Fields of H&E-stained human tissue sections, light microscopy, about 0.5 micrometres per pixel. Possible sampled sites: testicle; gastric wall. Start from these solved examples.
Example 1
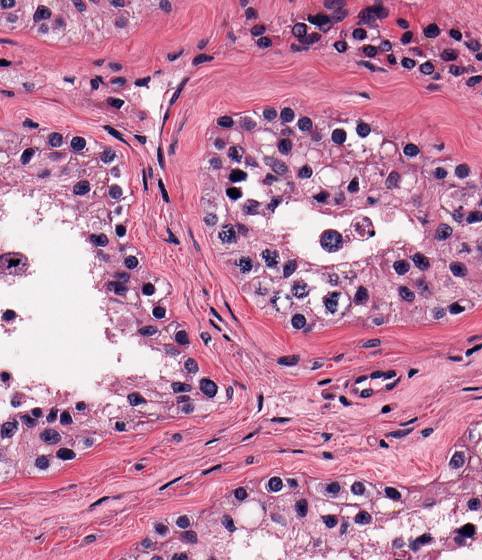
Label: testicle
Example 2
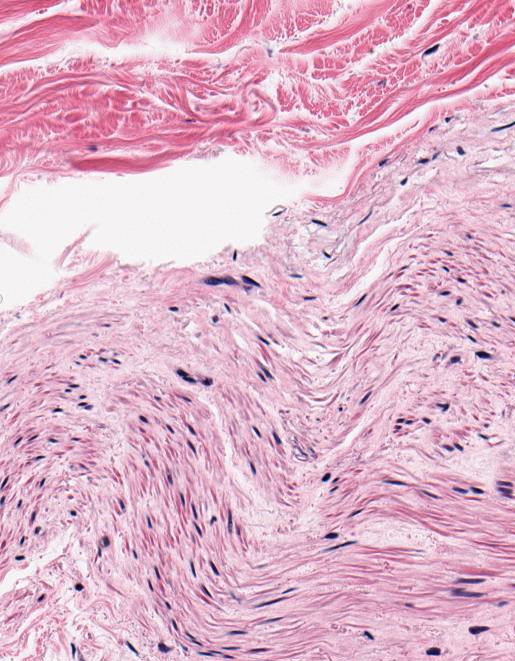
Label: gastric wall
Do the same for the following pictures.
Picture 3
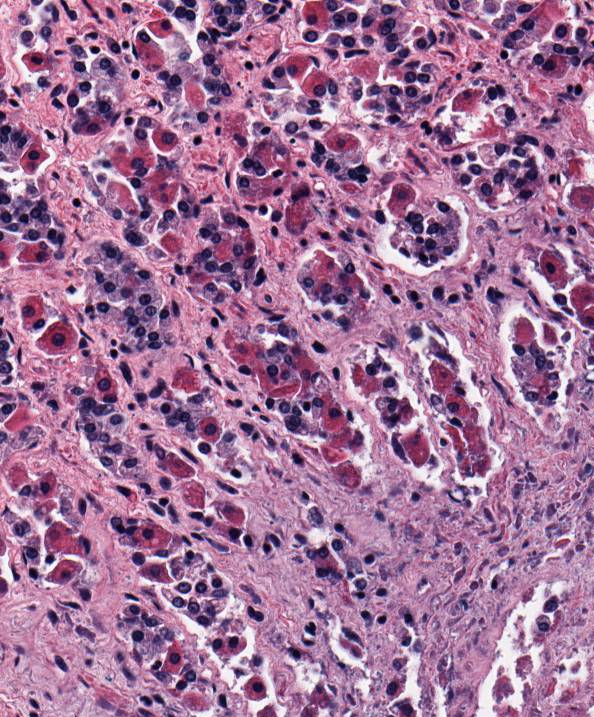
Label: gastric wall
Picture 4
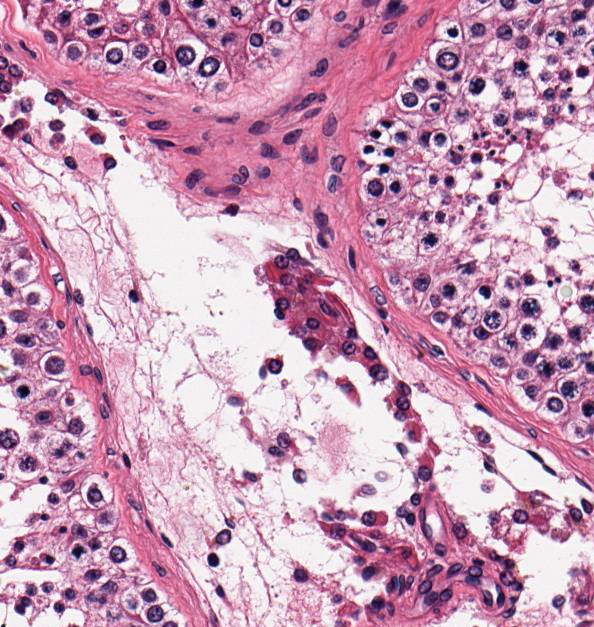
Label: testicle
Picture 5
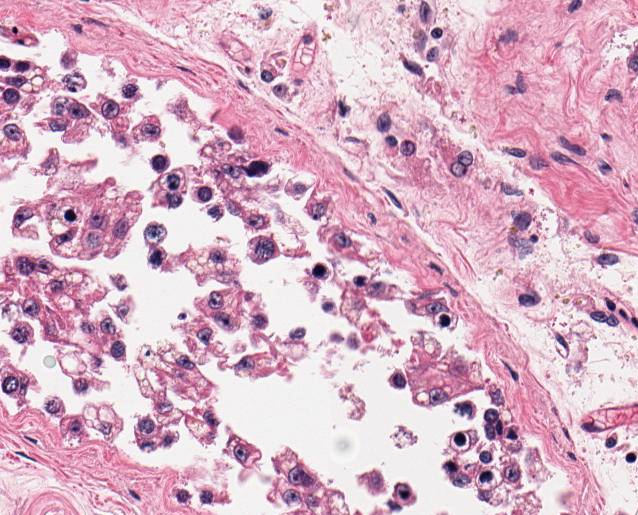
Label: testicle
